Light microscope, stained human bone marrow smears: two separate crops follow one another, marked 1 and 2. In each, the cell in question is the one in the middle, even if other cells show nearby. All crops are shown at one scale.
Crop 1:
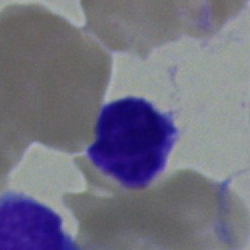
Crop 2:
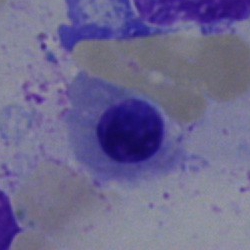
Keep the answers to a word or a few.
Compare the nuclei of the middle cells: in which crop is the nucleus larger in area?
1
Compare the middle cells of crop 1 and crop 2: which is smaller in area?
1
